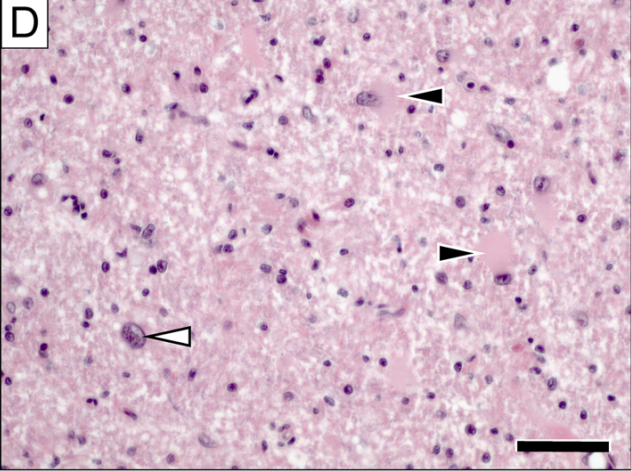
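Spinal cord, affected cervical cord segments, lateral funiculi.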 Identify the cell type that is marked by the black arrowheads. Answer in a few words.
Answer: gemistocytes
